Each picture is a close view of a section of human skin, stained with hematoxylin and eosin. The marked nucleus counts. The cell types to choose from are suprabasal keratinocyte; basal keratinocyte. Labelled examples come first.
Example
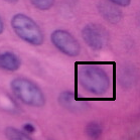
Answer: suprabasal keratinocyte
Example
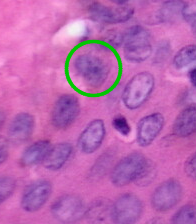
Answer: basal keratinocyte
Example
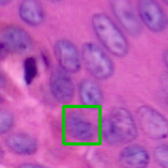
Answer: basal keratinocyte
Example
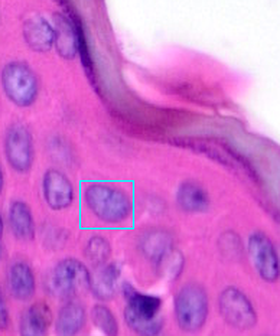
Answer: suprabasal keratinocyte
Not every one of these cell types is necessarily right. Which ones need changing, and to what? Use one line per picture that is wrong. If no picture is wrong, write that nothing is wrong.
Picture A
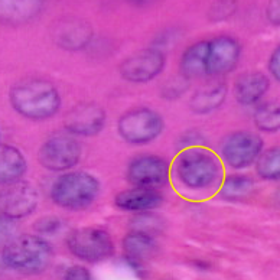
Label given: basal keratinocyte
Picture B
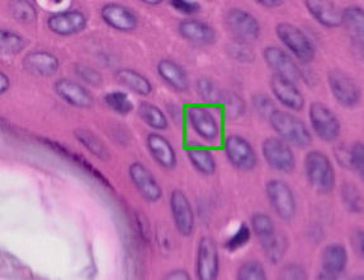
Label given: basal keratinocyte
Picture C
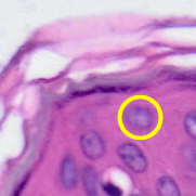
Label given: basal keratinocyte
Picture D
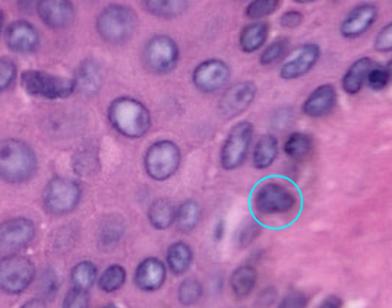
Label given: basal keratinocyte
B: change basal keratinocyte to suprabasal keratinocyte
C: change basal keratinocyte to suprabasal keratinocyte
